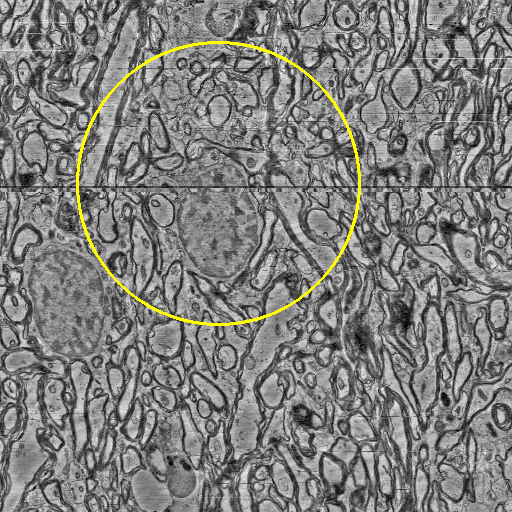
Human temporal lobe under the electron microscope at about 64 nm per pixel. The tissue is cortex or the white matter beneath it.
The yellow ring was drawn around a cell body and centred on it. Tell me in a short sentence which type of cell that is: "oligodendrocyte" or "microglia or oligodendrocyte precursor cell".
The cell at the ring's centre is an oligodendrocyte.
